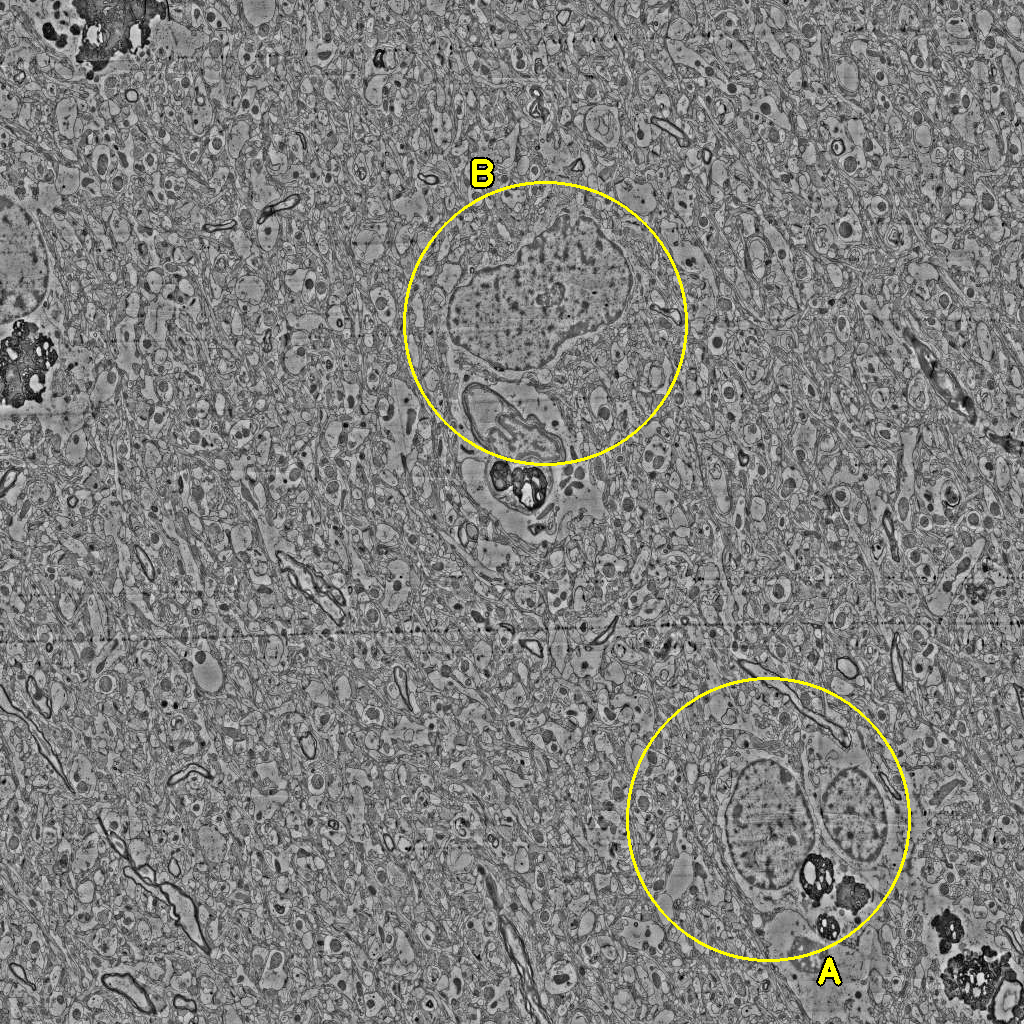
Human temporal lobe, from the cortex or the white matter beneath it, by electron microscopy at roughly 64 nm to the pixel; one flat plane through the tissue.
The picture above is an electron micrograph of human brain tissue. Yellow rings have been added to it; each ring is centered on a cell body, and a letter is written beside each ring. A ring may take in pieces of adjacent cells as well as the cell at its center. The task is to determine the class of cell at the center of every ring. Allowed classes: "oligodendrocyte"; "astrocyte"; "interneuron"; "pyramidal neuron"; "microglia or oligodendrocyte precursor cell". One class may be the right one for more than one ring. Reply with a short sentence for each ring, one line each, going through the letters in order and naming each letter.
Ring A is centered on an astrocyte.
Ring B is centered on a microglial cell or oligodendrocyte precursor cell.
